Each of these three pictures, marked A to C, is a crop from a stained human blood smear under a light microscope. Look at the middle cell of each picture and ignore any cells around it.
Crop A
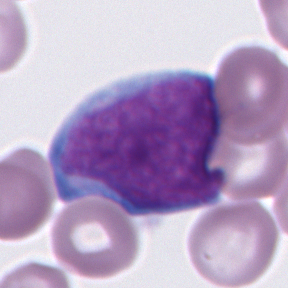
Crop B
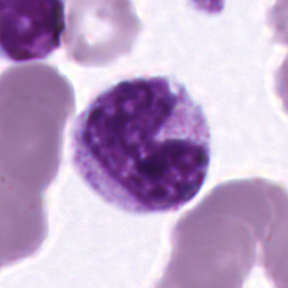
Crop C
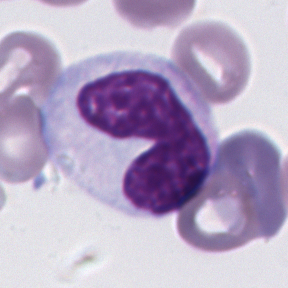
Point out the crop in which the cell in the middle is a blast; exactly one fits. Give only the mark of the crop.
A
